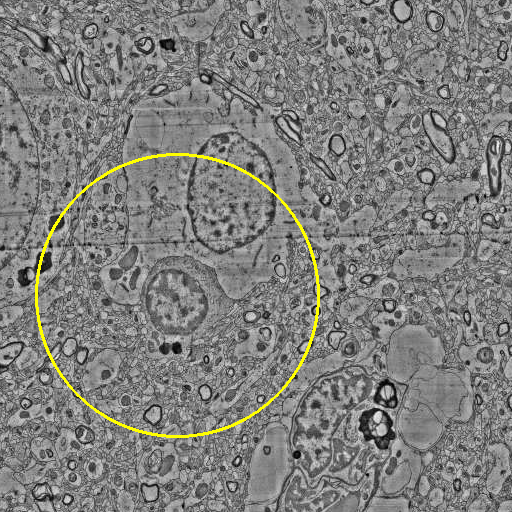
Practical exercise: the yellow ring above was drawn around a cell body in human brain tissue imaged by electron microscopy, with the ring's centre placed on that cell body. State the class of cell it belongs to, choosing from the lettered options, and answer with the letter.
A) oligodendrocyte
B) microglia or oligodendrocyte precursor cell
A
